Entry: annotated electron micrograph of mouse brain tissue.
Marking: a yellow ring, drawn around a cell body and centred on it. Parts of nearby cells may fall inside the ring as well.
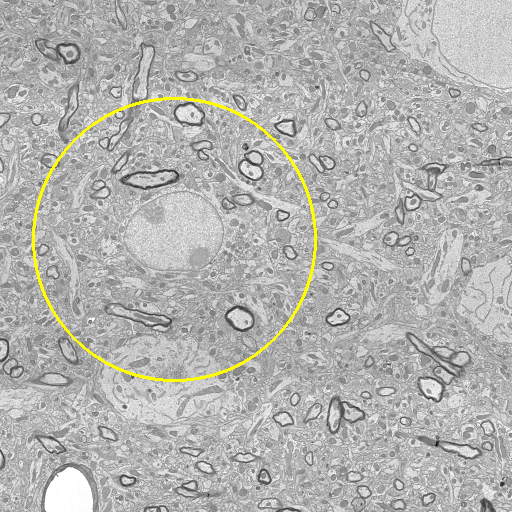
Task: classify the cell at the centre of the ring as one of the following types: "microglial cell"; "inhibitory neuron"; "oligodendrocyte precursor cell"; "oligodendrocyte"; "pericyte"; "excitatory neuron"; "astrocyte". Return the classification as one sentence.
The marked cell is classified as an astrocyte.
